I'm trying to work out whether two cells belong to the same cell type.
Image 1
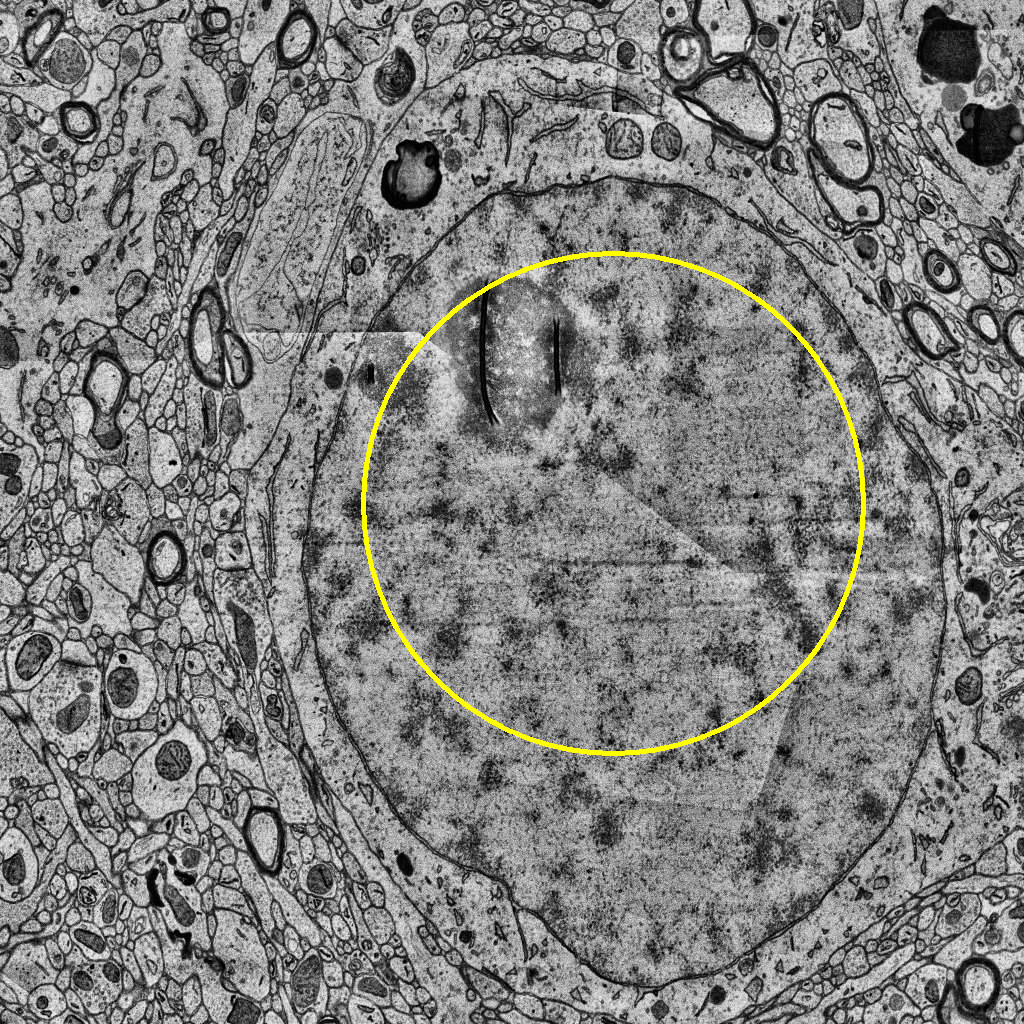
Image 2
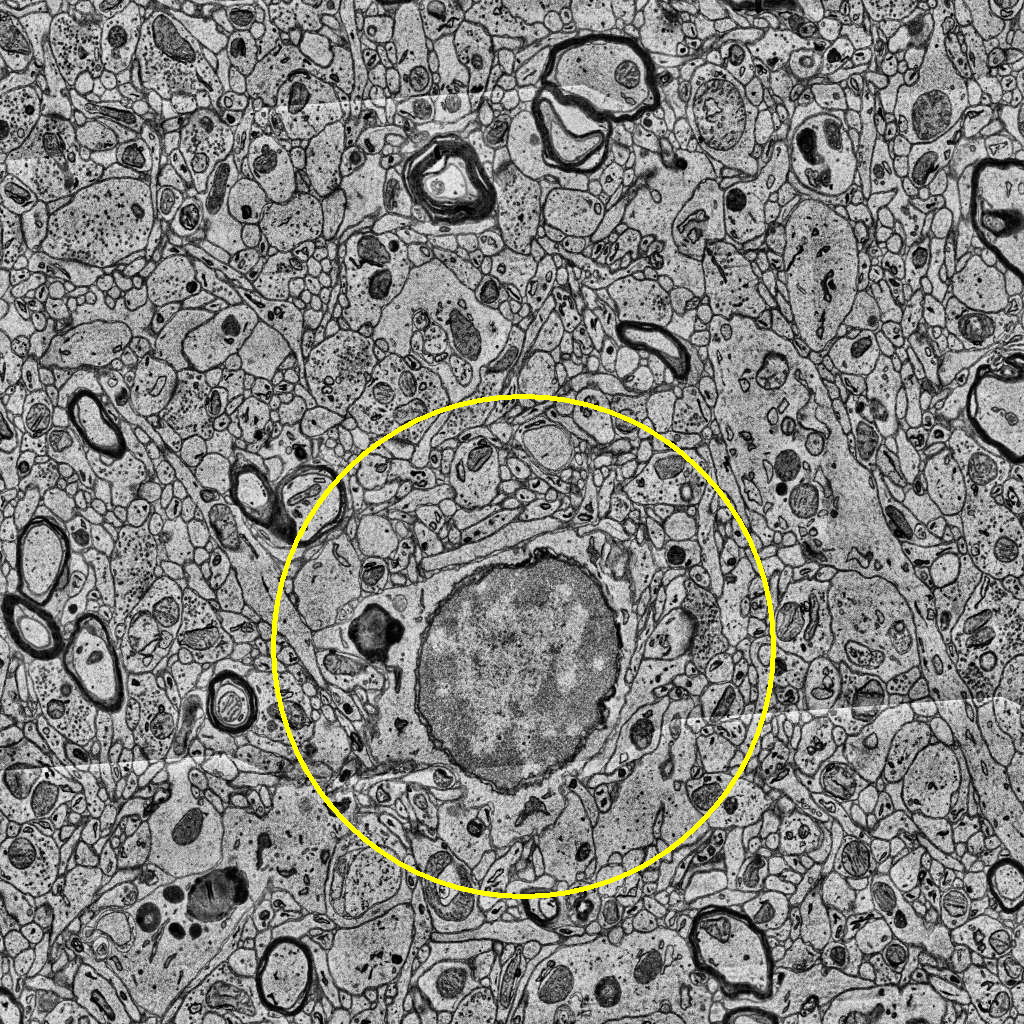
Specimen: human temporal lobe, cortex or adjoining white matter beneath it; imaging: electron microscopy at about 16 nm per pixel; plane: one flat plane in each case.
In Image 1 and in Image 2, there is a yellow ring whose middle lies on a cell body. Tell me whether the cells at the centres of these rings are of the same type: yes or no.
no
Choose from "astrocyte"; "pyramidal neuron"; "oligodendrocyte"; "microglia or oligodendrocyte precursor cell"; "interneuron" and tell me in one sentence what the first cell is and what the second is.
The cell at the centre of the second ring is a microglial cell or oligodendrocyte precursor cell; the first ring's cell is a pyramidal neuron.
